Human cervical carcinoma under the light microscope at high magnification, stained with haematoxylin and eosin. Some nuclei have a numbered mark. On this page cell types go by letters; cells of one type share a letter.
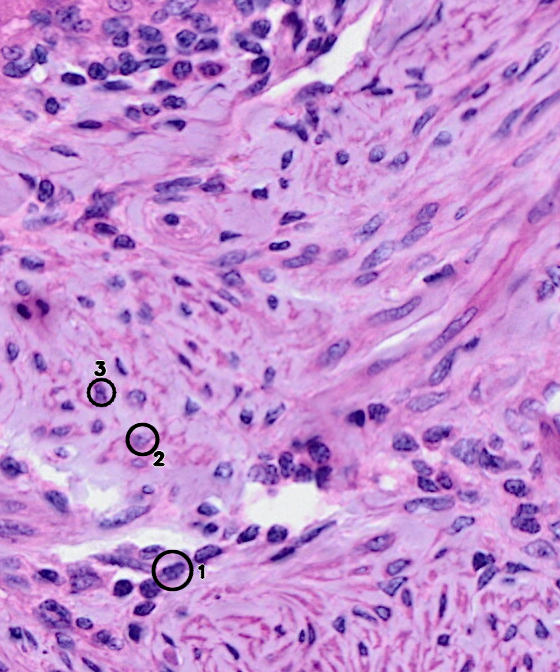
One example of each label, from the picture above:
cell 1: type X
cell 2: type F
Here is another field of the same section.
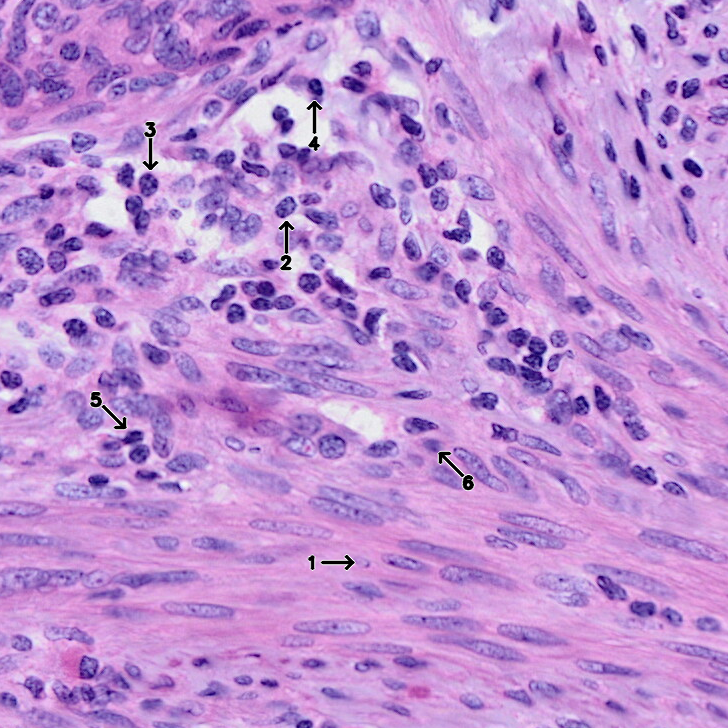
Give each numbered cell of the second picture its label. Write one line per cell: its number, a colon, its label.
1: type F
2: type X
3: type X
4: type X
5: type X
6: type F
